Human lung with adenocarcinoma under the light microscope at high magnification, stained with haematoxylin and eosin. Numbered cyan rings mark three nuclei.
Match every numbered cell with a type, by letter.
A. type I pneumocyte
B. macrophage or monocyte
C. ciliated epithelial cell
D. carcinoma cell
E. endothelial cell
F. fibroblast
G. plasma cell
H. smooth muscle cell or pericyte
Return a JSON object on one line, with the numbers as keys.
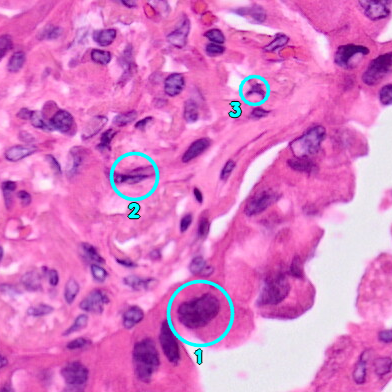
{"1": "D", "2": "F", "3": "F"}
